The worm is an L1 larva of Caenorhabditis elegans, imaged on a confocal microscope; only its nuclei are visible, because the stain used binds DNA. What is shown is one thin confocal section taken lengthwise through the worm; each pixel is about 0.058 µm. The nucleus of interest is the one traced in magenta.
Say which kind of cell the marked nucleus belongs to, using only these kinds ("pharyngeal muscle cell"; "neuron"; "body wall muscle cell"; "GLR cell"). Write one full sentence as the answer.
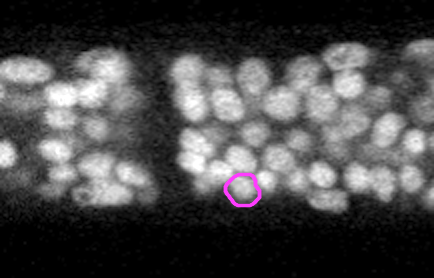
What is marked is the nucleus of a neuron.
